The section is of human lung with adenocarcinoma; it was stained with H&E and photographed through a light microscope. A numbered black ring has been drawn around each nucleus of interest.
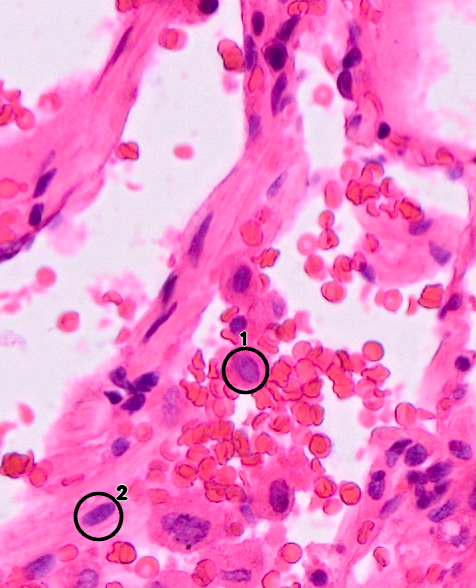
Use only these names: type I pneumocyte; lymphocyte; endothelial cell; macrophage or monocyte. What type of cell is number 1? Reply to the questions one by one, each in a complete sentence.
Marked with the number 1, this cell is a macrophage or monocyte.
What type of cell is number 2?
The cell indicated with the number 2 is classed as a type I pneumocyte.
